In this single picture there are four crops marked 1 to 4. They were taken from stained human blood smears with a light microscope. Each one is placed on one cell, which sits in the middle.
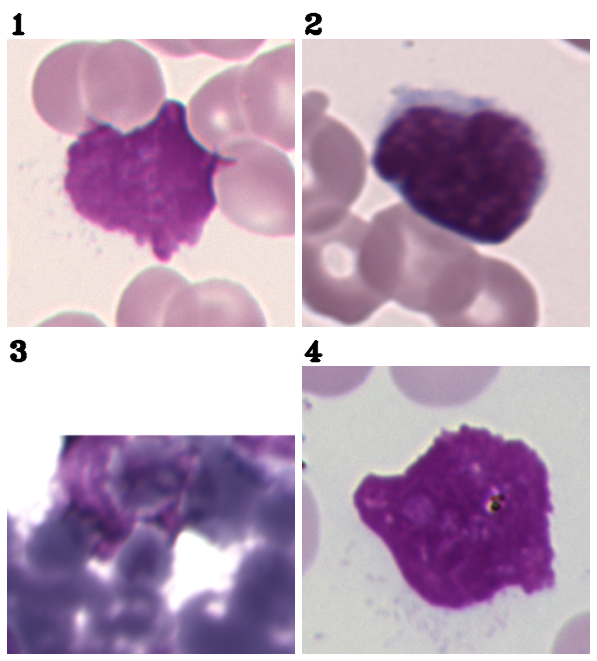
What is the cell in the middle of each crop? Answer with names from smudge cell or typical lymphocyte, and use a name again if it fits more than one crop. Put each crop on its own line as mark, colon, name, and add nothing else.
1: smudge cell
2: typical lymphocyte
3: smudge cell
4: smudge cell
